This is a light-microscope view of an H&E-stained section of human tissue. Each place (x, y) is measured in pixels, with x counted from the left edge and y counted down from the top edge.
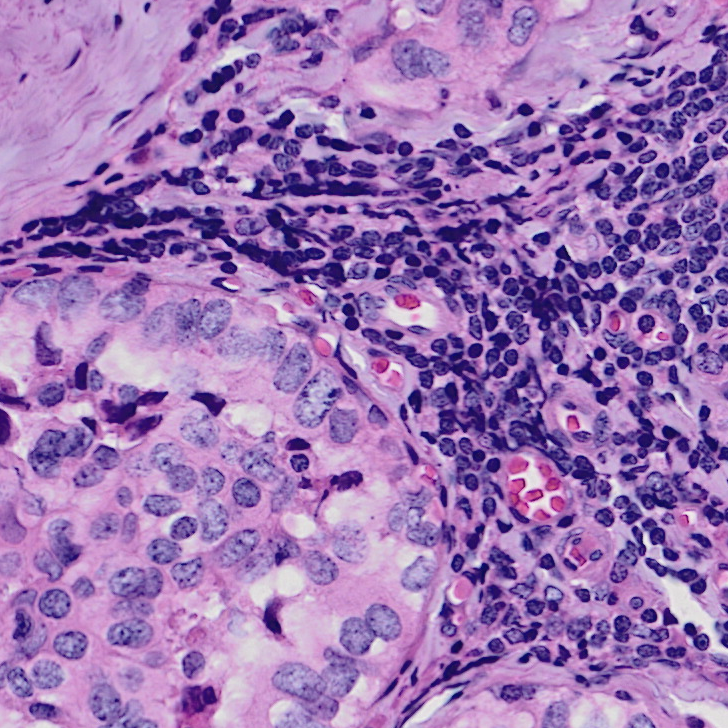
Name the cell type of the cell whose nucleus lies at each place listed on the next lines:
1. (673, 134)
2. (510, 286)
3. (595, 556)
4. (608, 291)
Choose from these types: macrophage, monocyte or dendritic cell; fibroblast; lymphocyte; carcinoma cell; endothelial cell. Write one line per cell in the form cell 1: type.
cell 1: lymphocyte
cell 2: lymphocyte
cell 3: endothelial cell
cell 4: lymphocyte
